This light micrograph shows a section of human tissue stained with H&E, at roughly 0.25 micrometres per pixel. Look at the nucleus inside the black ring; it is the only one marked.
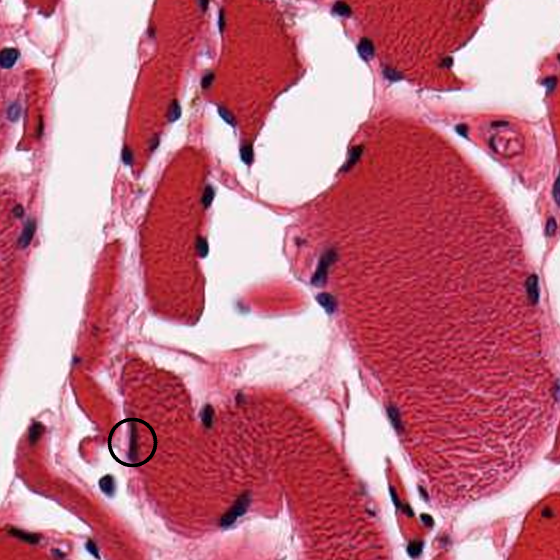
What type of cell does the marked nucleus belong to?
skeletal muscle fibre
